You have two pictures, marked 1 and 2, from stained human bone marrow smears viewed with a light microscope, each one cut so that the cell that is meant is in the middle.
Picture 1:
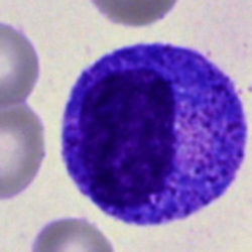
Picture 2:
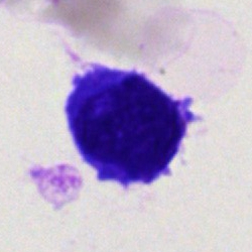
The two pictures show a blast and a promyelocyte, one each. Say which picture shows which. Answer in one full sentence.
Picture 1 is of a promyelocyte, and picture 2 is of a blast.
